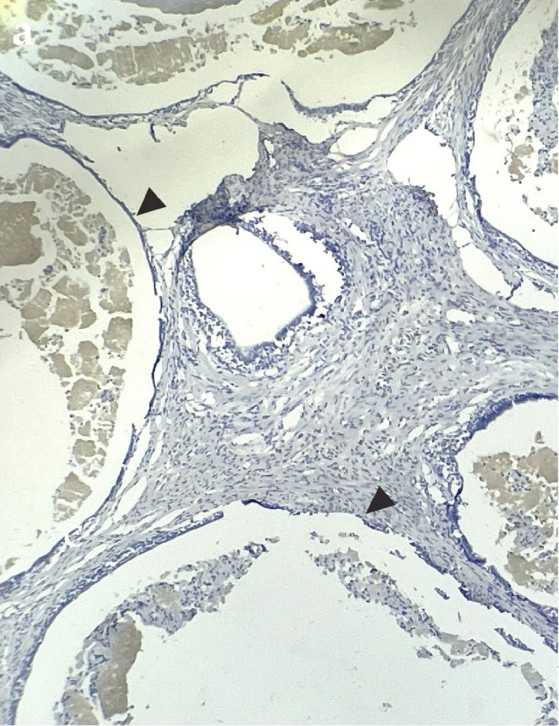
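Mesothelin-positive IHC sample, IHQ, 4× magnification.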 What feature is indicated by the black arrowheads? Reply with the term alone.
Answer: cysts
